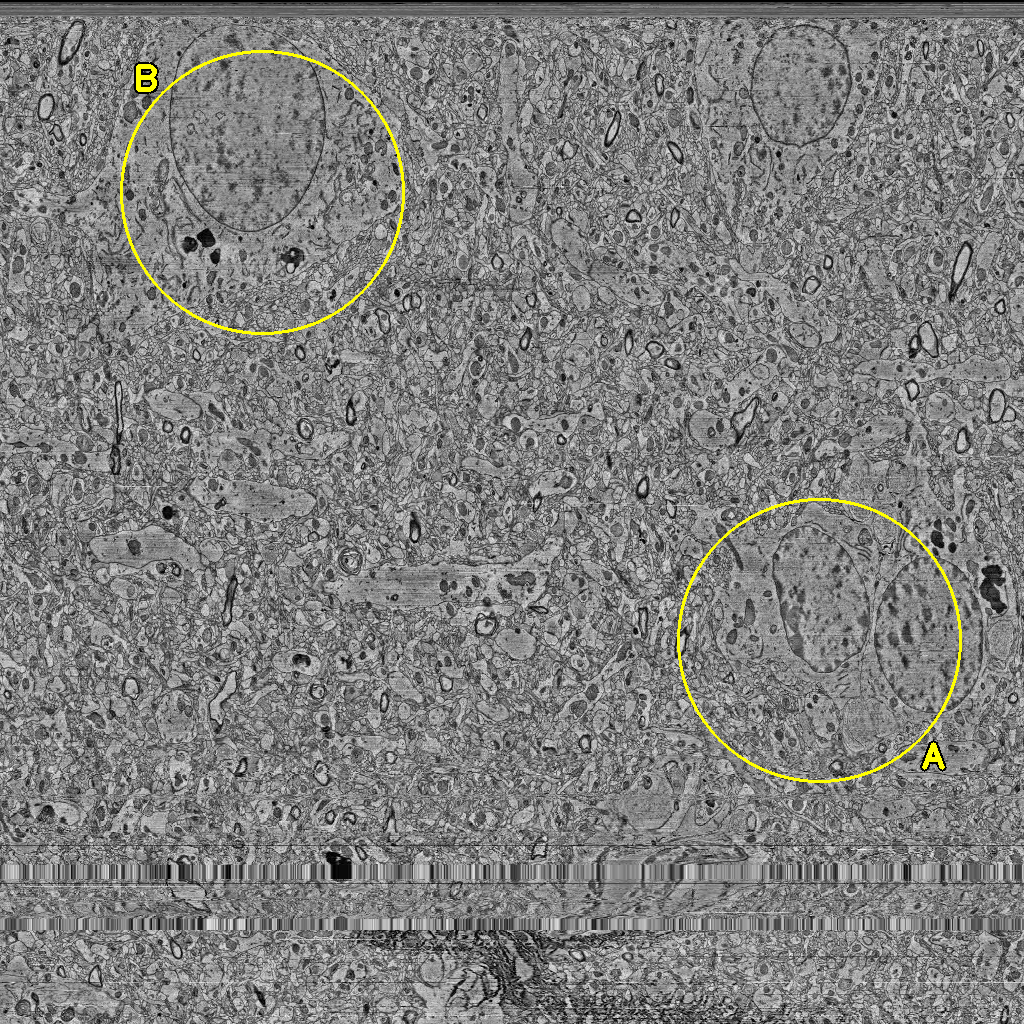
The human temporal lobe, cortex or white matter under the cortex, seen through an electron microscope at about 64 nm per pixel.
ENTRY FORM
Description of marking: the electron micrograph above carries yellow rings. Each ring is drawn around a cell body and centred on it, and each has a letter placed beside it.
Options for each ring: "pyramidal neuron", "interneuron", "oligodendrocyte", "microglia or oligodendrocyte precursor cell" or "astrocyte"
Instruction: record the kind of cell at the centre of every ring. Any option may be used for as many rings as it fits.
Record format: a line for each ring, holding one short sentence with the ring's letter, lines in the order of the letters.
Ring A surrounds the cell body of an astrocyte.
Ring B surrounds the cell body of a pyramidal neuron.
